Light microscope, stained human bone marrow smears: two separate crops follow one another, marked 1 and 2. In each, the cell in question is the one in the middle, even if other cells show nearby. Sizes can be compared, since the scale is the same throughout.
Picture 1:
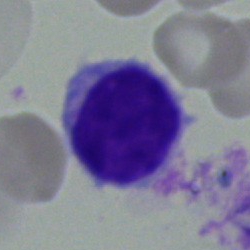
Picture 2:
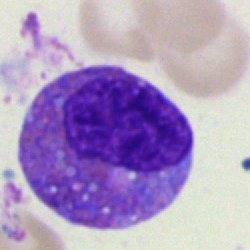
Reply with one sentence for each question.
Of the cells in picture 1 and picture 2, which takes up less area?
Smaller is the cell in picture 1, and the other is about 2 times as large in area.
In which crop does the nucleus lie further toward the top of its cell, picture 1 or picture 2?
The nucleus in picture 2 lies further toward the top of its cell.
